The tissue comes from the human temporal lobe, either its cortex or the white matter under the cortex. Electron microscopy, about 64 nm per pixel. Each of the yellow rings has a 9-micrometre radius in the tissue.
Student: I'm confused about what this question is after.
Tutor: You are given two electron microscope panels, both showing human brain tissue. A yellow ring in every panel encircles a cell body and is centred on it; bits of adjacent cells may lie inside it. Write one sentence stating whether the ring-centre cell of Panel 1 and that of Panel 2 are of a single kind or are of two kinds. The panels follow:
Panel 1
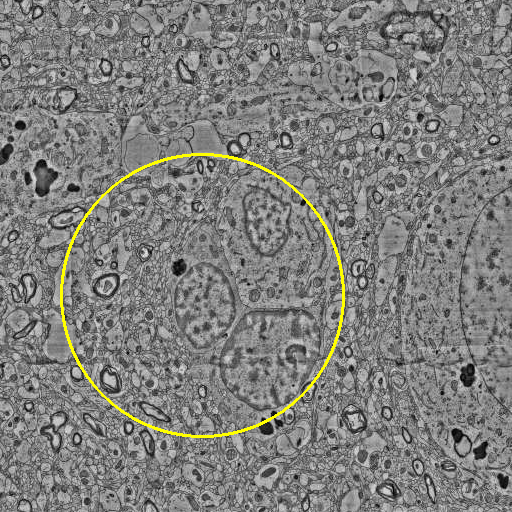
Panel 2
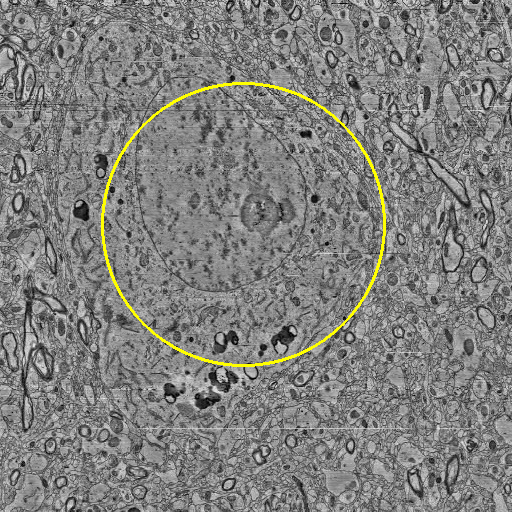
Here, the Panel 1 ring-centre cell and the Panel 2 ring-centre cell are of two kinds.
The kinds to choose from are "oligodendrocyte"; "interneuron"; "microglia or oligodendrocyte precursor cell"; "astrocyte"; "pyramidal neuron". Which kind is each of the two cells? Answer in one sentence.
Of the two, the first cell is an oligodendrocyte and the second cell is a pyramidal neuron.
